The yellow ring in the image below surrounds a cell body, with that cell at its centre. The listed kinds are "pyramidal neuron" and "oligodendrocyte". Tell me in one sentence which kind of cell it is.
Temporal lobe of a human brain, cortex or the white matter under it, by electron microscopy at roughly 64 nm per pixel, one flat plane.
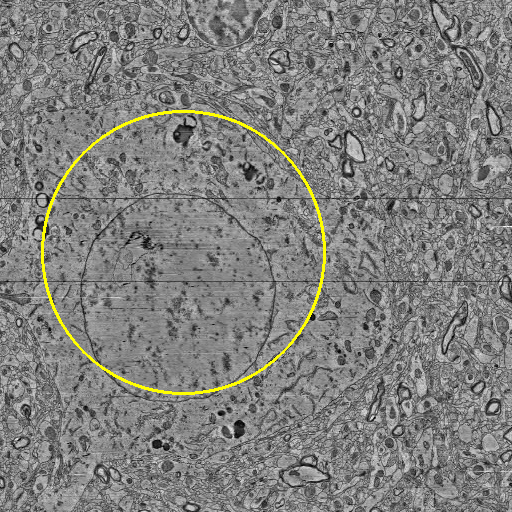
The centre of the ring holds a pyramidal neuron.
